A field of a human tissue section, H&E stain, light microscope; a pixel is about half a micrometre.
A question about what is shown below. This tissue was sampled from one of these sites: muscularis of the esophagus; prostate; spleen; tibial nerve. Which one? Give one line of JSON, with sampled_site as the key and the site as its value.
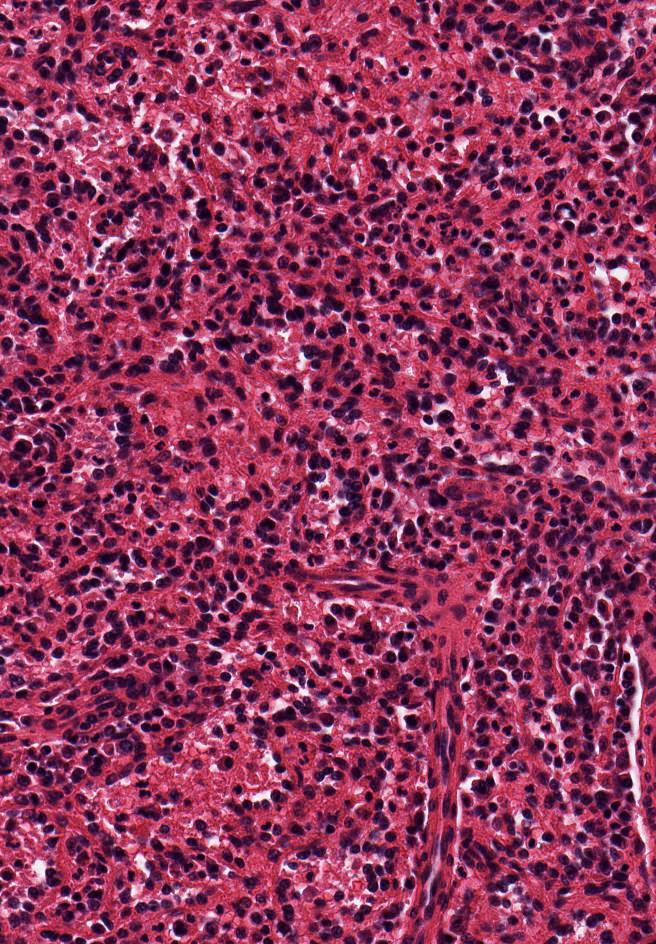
{"sampled_site": "spleen"}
